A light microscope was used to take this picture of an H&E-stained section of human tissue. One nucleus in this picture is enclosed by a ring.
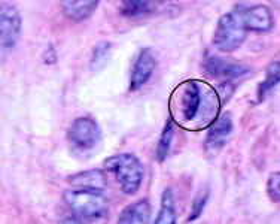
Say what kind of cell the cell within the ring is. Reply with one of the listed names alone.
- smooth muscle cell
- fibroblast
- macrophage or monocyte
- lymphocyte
lymphocyte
